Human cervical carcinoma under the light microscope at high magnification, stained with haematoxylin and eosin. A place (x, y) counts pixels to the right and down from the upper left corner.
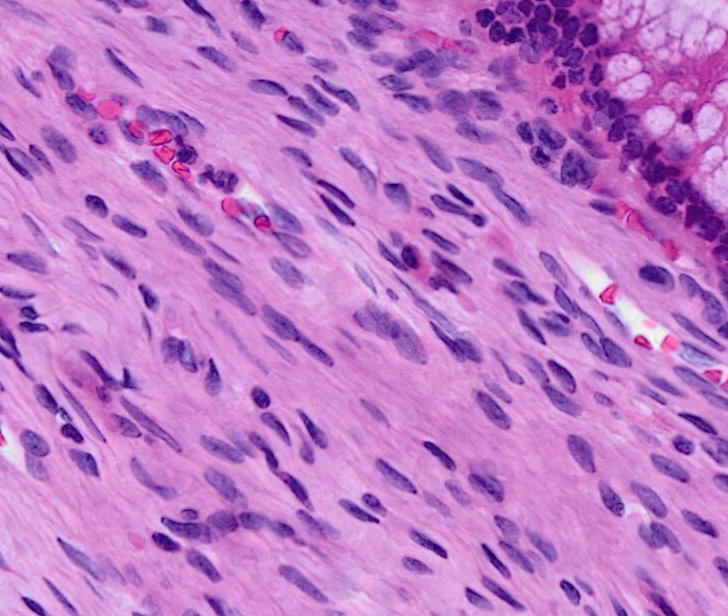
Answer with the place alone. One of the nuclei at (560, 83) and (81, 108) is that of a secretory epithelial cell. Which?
(560, 83)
